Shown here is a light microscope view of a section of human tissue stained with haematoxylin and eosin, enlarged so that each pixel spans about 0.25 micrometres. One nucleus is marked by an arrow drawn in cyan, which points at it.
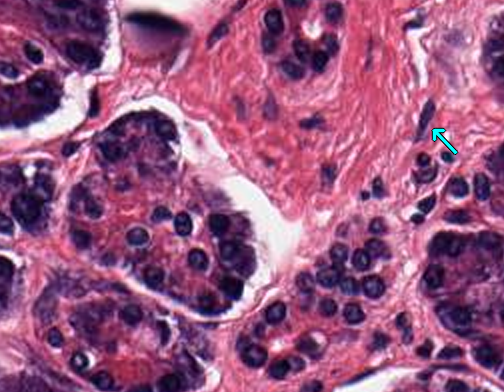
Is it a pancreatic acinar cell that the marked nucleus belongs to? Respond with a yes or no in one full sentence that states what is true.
No, the marked nucleus is not from a pancreatic acinar cell; a supporting cell is its source.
